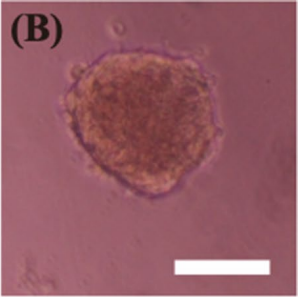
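A spheroid: a single rounded, compact aggregate of cells seen under transmitted light. The aggregate is roughly circular with a slightly irregular but well-defined edge and appears brownish, darker and more granular in the middle and lighter toward the periphery, where a thin paler rim outlines it. Individual cells are hard to distinguish within the dense mass, but a few small rounded cells sit loosely attached on its surface at the upper edge.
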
